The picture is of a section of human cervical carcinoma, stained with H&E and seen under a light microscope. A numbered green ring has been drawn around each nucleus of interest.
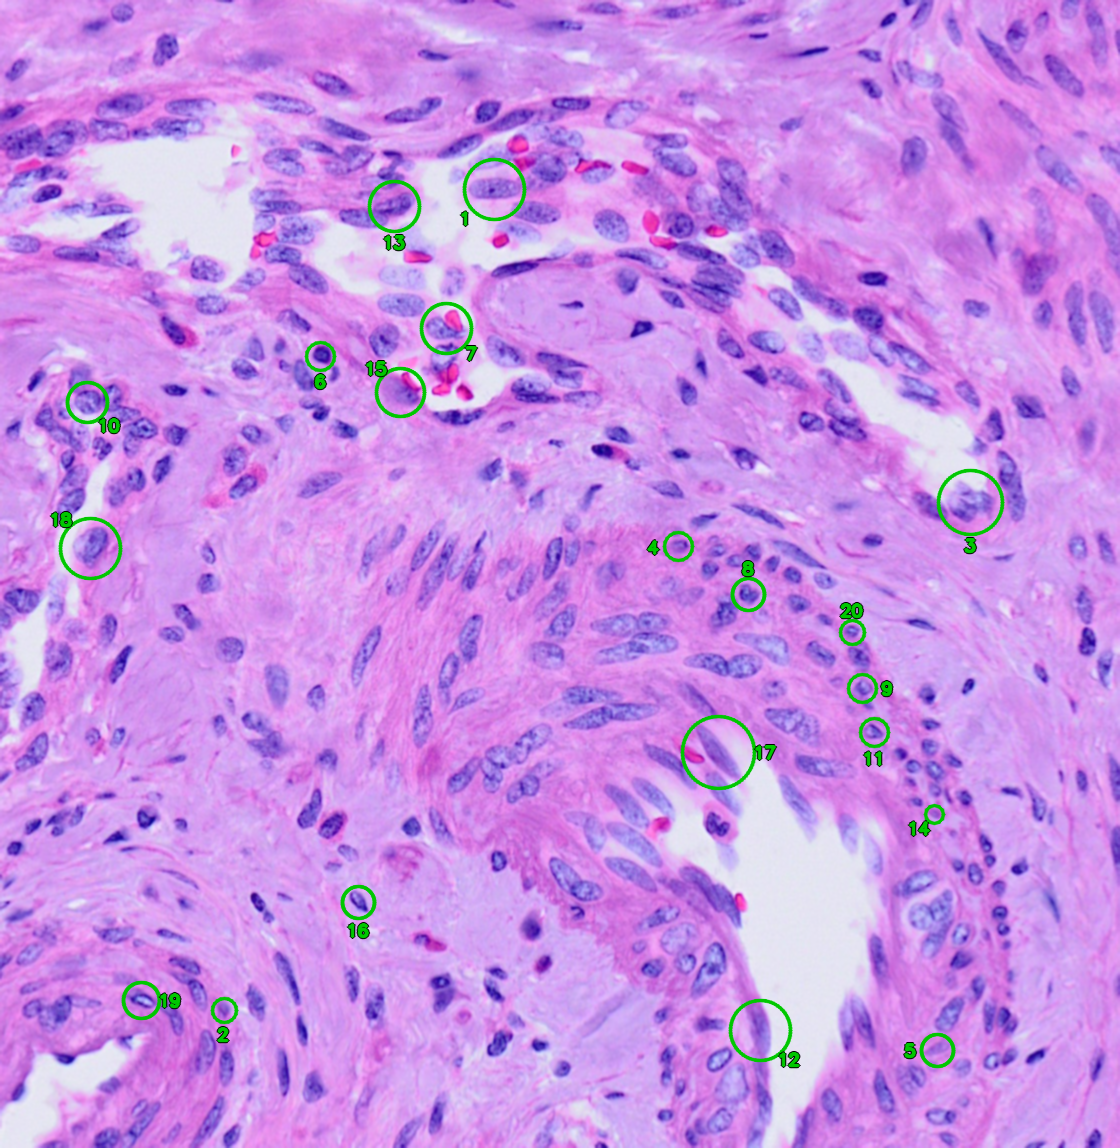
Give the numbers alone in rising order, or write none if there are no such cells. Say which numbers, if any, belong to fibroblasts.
16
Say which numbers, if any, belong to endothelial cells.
1, 3, 7, 10, 12, 13, 15, 17, 18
